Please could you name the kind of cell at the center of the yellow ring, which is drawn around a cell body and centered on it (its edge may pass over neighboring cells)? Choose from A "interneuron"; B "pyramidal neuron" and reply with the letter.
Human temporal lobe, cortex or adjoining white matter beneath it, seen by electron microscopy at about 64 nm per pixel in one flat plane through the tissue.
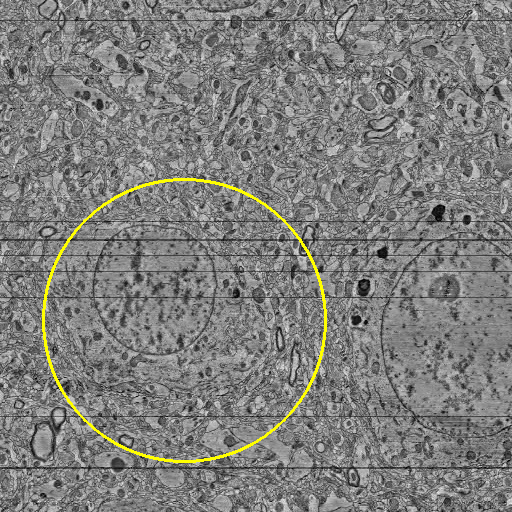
B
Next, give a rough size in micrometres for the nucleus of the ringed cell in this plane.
Roughly 8 micrometres across, measured in this plane.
